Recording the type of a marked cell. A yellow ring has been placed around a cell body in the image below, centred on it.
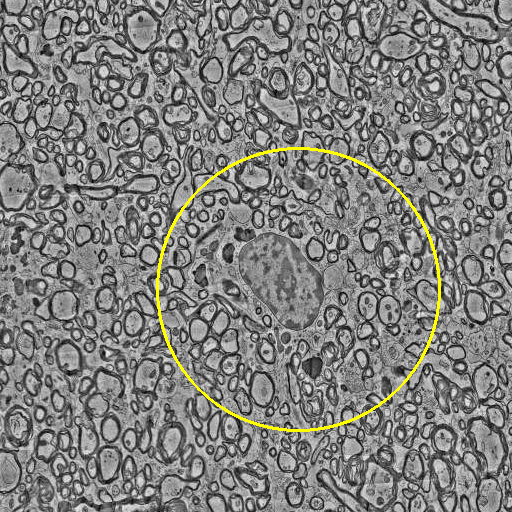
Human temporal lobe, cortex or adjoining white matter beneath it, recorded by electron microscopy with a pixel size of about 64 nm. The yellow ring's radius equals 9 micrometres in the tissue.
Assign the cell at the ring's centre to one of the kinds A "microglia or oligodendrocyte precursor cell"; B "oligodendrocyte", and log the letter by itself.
A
